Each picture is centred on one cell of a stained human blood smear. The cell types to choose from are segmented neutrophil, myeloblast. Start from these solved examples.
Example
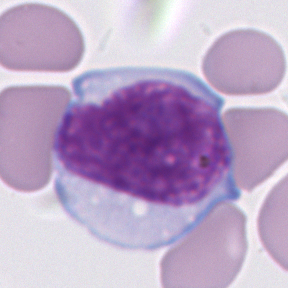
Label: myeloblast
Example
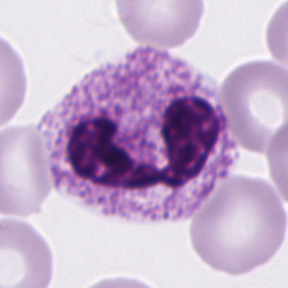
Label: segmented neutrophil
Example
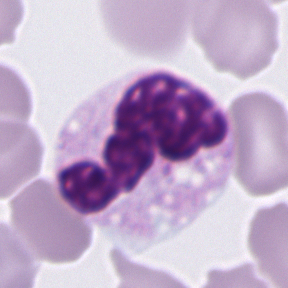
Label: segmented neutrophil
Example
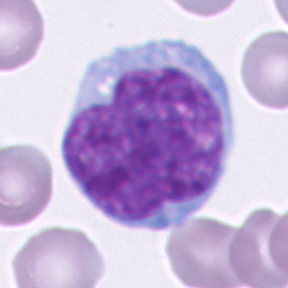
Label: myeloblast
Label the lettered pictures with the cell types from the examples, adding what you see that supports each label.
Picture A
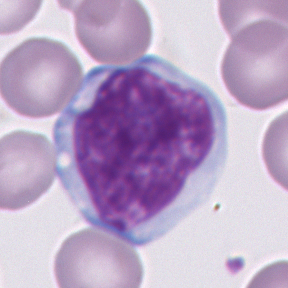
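Answer: myeloblast. The cytoplasm forms a narrow rim around the nucleus.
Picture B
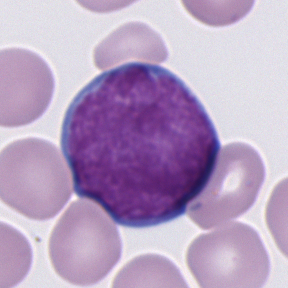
Answer: myeloblast. The cytoplasm forms only a thin rim around the nucleus.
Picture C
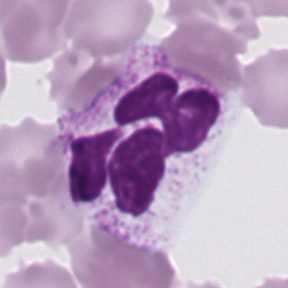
Answer: segmented neutrophil. The cytoplasm is plentiful and very pale, almost colourless.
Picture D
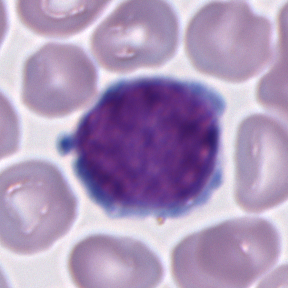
Answer: myeloblast. The cytoplasm is stained a deep blue.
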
